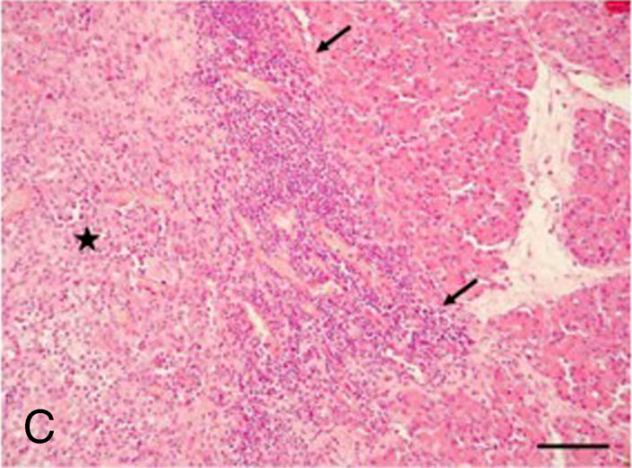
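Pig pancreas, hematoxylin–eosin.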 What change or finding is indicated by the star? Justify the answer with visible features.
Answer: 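The star lies in a pale area where acinar outlines are lost. The area contains scattered nuclei without clear cell borders.
Hence: focal tissue necrosis.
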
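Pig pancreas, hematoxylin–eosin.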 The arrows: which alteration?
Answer: Dense inflammatory infiltrates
